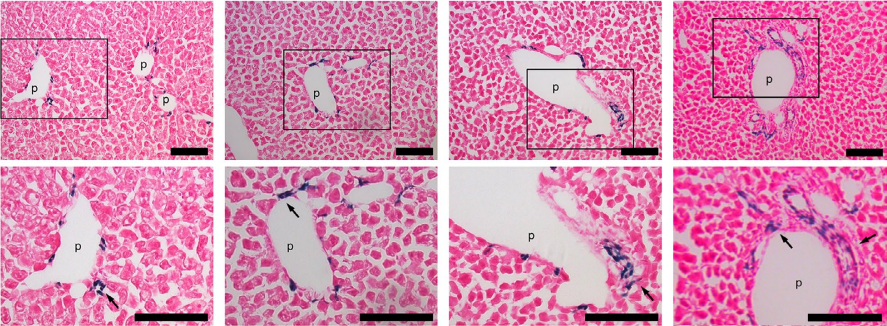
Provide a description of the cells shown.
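These are sections of liver with pink polygonal hepatocytes arranged in cords around large empty portal vessels. Small dark blue-stained cells sit at the edge of the portal vessels, lining small duct-like structures of the portal area. In the right-hand images these blue cells are more numerous and form several duct-like profiles clustered around the vessel.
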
